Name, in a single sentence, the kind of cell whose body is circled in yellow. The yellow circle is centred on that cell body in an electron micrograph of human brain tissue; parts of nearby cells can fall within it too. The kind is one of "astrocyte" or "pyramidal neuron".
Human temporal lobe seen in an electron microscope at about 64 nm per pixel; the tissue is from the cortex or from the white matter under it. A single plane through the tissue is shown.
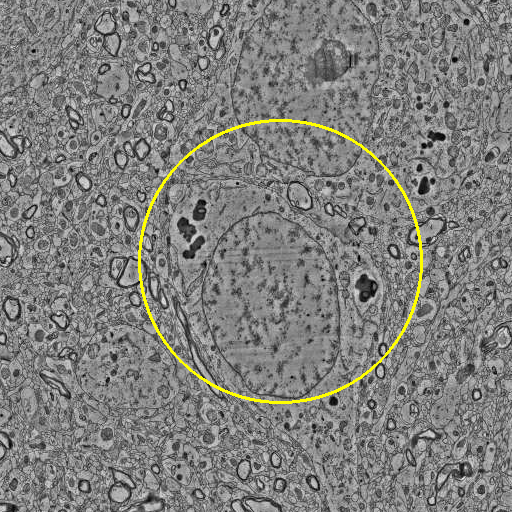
The circled cell body belongs to a pyramidal neuron.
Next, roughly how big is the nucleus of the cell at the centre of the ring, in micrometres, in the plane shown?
About 12 by 9 micrometers, in this plane.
